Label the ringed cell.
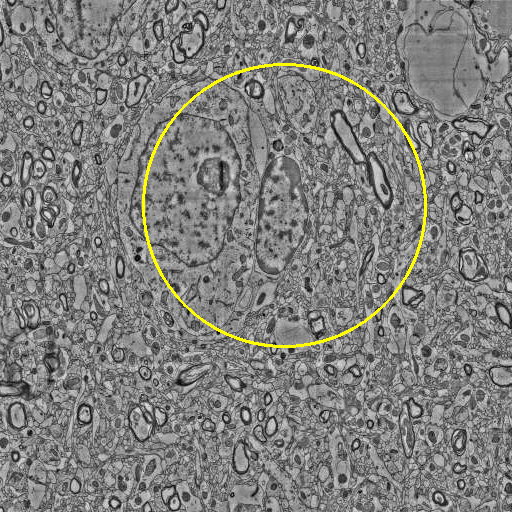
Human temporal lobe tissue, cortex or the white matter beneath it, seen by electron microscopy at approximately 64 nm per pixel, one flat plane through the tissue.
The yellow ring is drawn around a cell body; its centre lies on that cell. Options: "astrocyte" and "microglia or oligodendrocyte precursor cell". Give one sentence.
The ringed cell is a microglial cell or oligodendrocyte precursor cell.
